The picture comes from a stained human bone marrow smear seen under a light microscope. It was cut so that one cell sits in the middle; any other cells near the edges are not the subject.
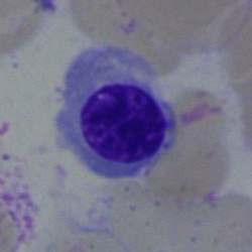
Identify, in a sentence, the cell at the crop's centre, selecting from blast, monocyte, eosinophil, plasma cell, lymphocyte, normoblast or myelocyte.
The centrally placed cell is classified as a normoblast.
